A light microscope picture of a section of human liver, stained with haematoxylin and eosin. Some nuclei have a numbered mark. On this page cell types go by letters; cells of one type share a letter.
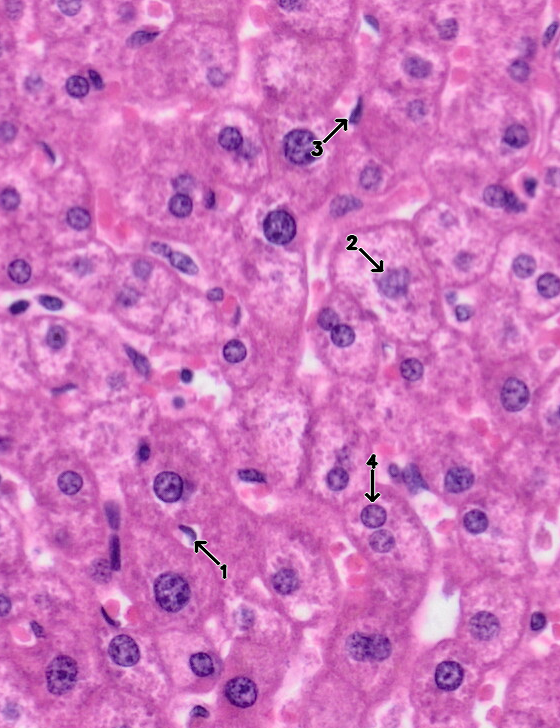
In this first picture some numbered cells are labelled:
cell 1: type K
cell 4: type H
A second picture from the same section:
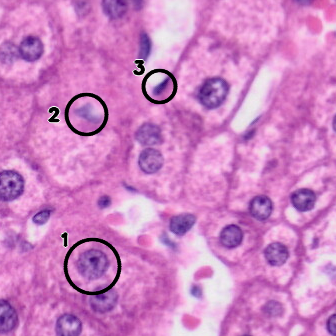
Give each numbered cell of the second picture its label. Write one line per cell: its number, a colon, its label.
1: type H
2: type K
3: type K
